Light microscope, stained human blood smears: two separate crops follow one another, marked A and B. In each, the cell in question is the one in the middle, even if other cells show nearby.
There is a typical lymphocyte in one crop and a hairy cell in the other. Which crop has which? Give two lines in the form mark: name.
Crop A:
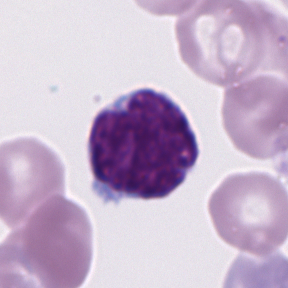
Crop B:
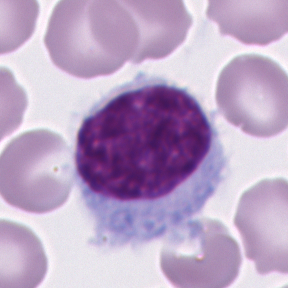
A: typical lymphocyte
B: hairy cell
